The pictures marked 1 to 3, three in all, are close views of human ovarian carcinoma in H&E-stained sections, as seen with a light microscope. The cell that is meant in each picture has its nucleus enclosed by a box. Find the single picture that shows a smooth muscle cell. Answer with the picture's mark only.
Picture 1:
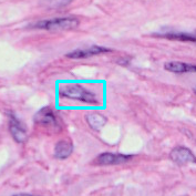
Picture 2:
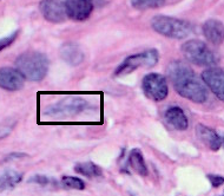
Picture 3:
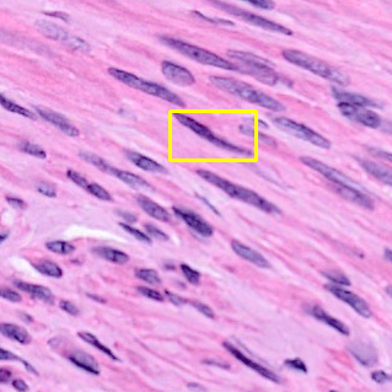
3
